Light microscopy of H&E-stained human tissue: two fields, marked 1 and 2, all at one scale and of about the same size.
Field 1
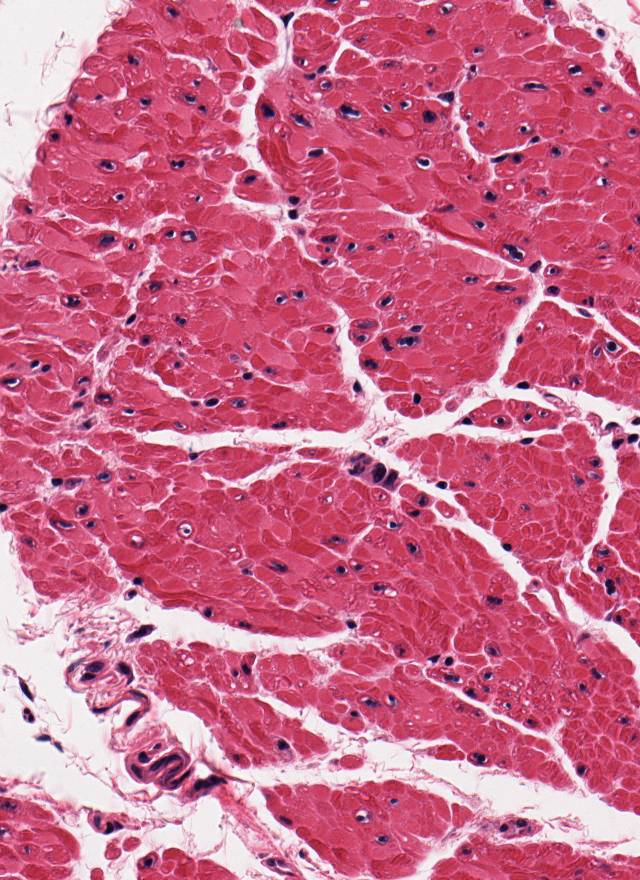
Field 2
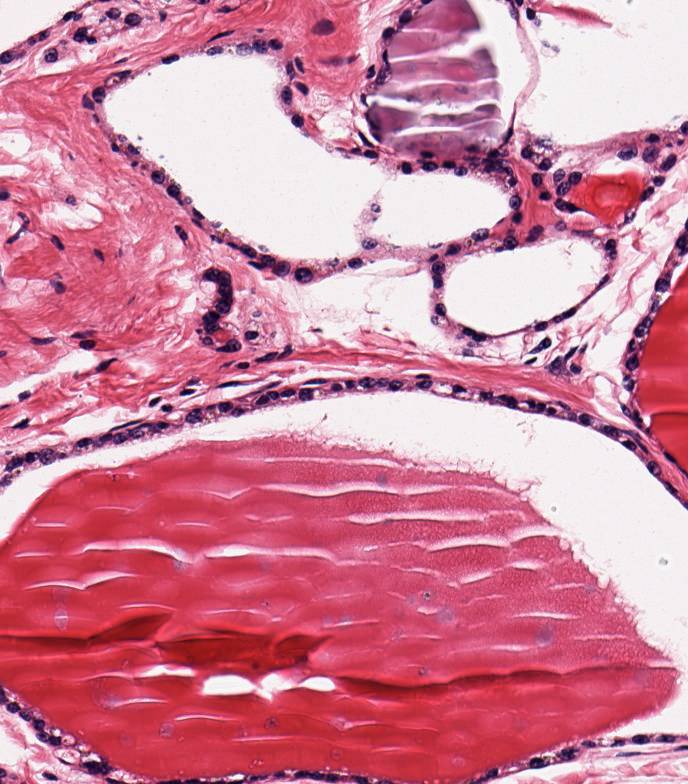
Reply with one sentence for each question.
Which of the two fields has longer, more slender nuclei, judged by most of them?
The nuclei are more elongated in field 2.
